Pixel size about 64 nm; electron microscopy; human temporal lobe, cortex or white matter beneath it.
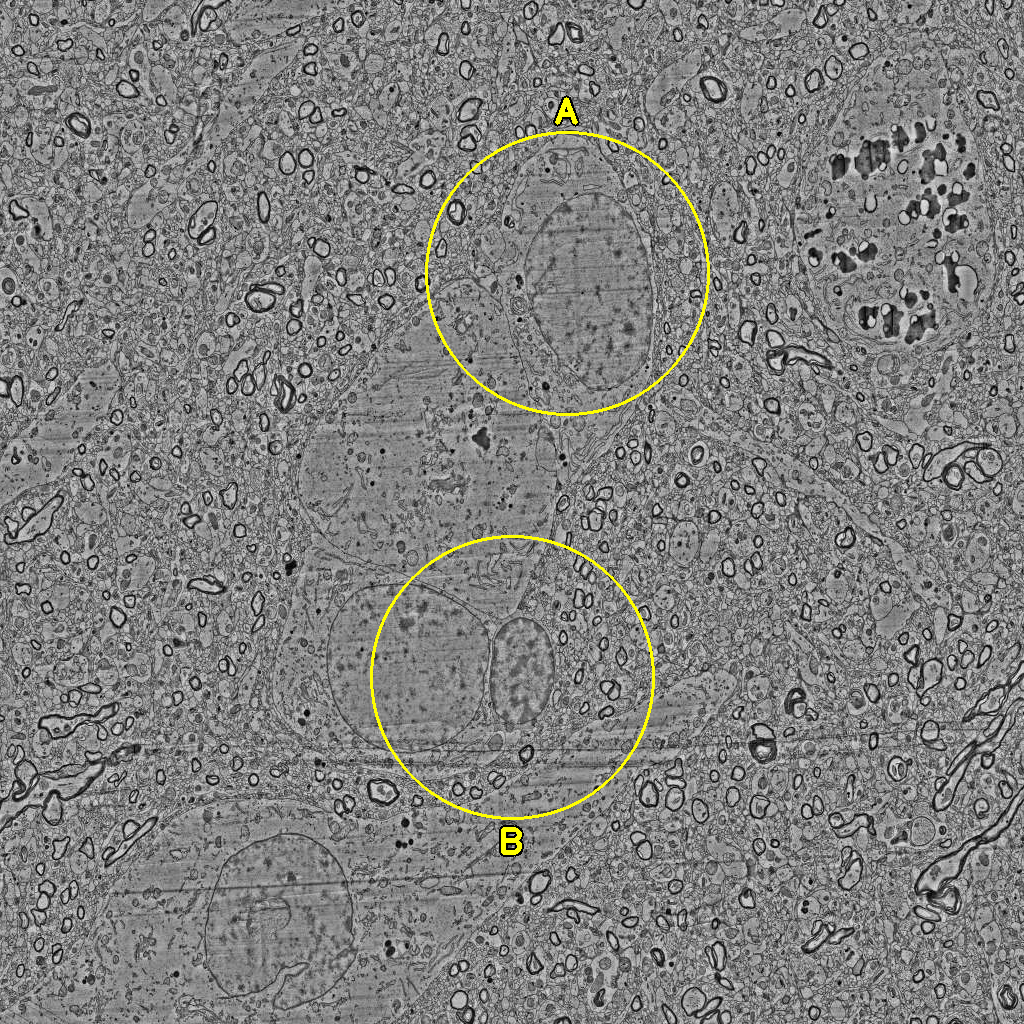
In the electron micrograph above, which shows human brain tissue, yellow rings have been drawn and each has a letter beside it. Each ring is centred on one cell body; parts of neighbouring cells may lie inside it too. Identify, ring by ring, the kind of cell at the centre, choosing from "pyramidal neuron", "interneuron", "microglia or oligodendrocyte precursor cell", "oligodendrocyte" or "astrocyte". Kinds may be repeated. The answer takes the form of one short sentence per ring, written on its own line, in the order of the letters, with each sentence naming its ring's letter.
Inside ring A, at its centre, is an interneuron.
Inside ring B, at its centre, is an oligodendrocyte.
